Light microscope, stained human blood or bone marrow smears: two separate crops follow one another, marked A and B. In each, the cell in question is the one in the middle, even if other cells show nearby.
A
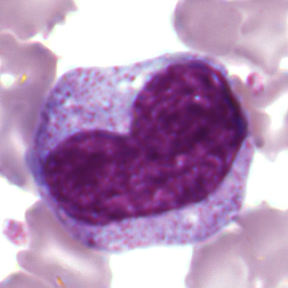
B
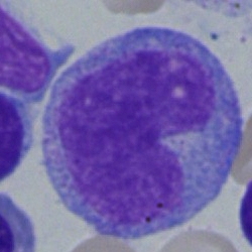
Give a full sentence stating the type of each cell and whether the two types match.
Yes, promyelocytes are the cells shown in both crops.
